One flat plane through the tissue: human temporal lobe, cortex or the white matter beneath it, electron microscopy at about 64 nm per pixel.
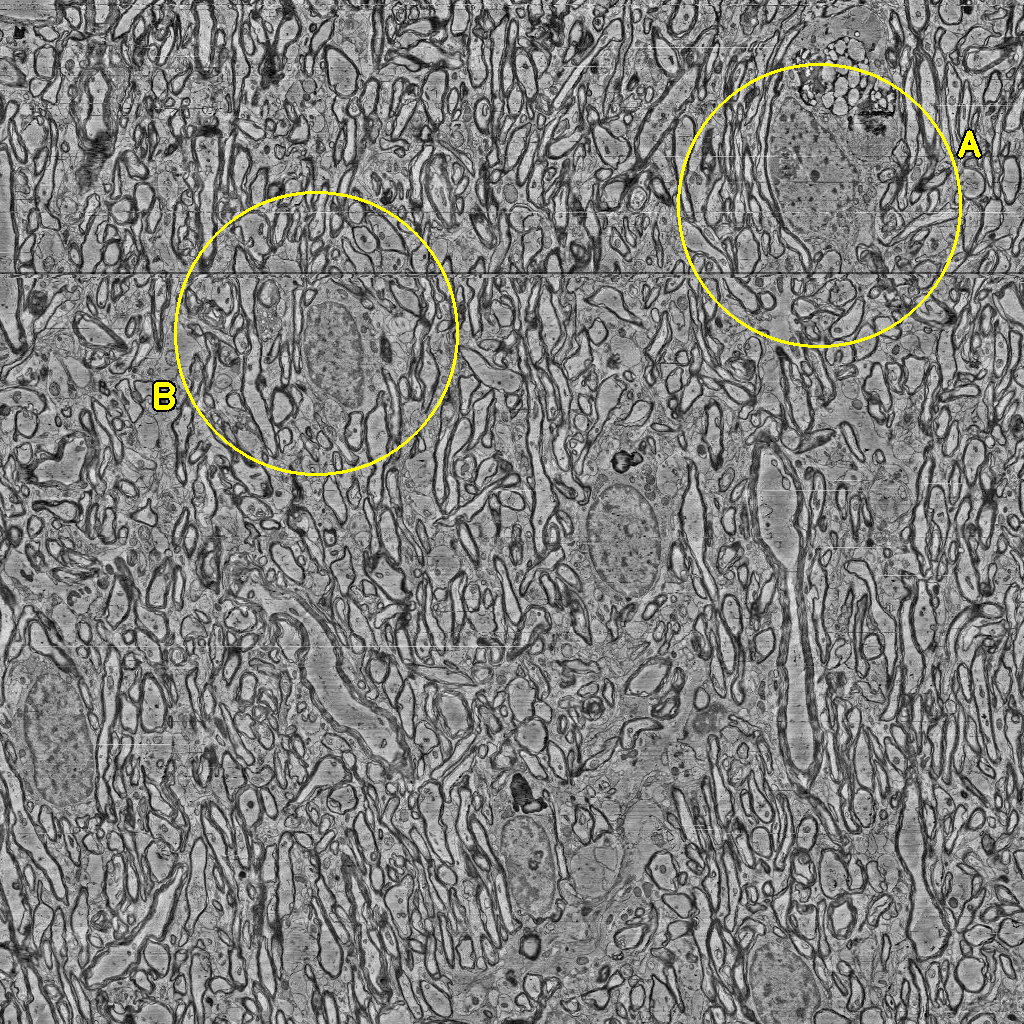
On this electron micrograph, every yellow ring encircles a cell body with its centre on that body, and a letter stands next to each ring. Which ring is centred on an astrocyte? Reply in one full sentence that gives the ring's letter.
Ring A is the ring that has the cell asked for in its centre.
